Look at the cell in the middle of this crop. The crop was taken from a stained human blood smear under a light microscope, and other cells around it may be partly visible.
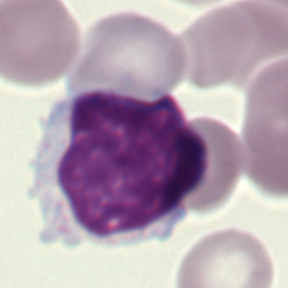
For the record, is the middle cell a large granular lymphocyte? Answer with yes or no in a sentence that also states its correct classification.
Yes, the cell in the center of the field is a large granular lymphocyte.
